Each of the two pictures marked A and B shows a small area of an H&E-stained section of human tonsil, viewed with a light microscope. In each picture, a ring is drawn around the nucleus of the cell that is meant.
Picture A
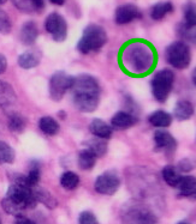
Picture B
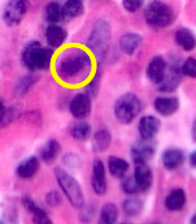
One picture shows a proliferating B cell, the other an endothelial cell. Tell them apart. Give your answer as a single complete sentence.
Picture A shows a proliferating B cell and picture B shows an endothelial cell.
